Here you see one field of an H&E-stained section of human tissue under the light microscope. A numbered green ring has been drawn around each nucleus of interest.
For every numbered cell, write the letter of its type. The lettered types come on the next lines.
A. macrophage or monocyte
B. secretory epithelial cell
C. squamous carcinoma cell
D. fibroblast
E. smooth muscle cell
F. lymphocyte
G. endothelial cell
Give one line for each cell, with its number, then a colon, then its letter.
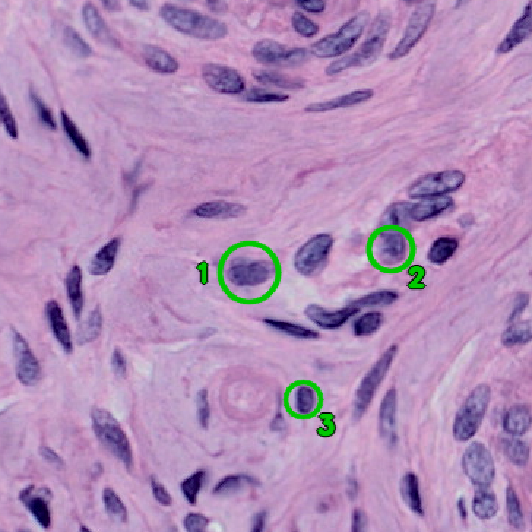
1: D
2: G
3: D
